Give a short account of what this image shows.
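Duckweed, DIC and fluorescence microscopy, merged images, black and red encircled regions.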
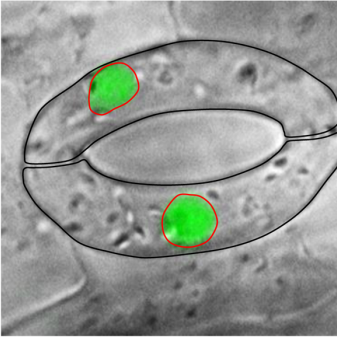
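Two curved, kidney-shaped guard cells, outlined in black, lie face to face around a central elliptical opening. The rest of the cytoplasm appears grey with small scattered granules. Neighbouring epidermal cells show faintly around the pair.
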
